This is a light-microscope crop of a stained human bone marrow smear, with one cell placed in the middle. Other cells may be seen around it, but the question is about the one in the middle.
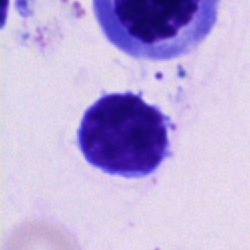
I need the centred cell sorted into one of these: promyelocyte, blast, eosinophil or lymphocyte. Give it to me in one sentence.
The middle position in this crop is taken by a lymphocyte.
